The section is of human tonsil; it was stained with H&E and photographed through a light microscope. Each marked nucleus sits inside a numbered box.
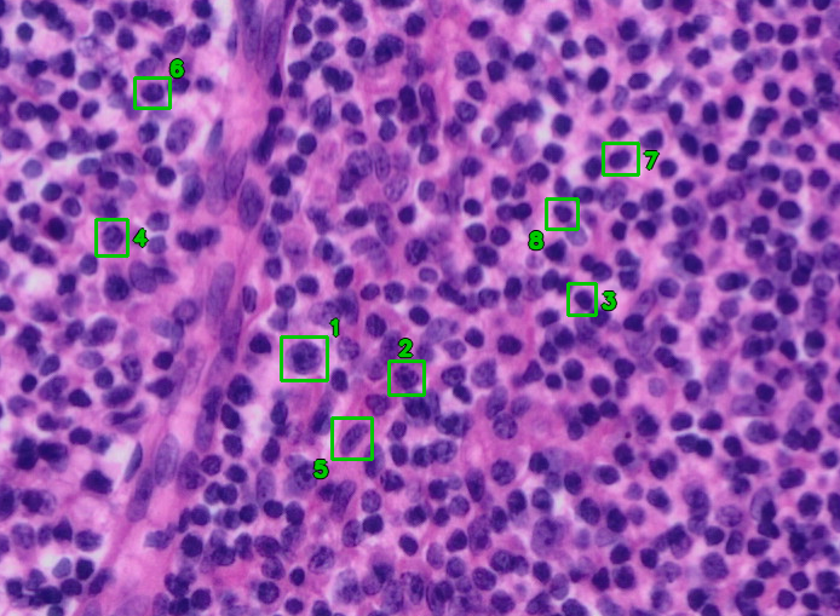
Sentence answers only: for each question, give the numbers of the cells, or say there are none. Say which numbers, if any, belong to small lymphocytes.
Cells numbered 3, 6, 7 and 8 belong to the group of small lymphocytes.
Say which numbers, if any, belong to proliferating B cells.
Of the numbered nuclei, only the one labelled 1 belongs to a proliferating B cell.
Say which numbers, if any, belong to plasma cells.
Within this tissue, the cells numbered 2 and 4 are plasma cells.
